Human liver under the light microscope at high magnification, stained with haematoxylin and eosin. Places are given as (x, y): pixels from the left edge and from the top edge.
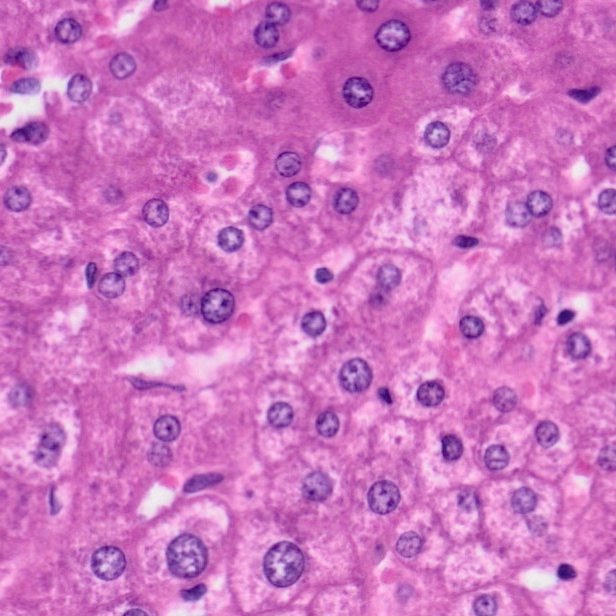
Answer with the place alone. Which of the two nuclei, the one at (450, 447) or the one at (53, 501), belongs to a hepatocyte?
(450, 447)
